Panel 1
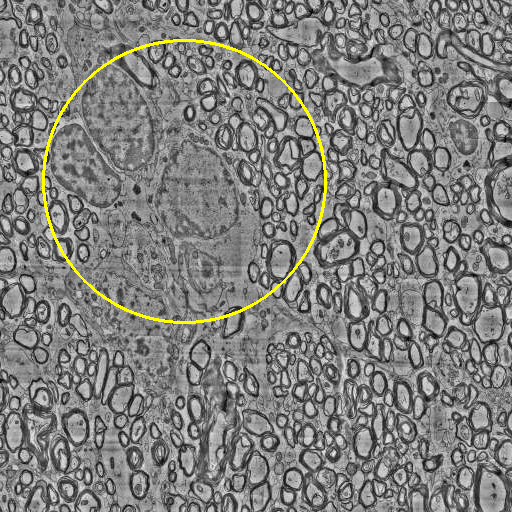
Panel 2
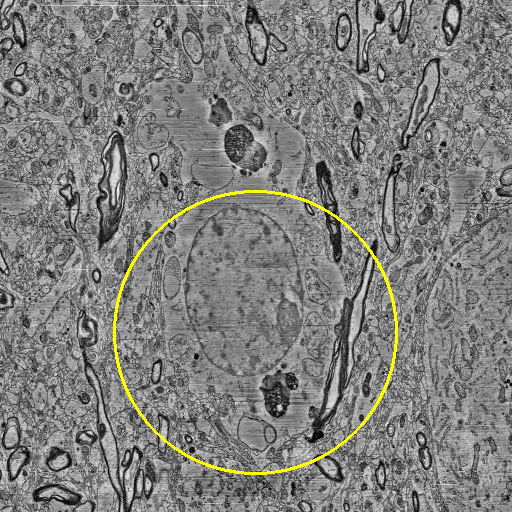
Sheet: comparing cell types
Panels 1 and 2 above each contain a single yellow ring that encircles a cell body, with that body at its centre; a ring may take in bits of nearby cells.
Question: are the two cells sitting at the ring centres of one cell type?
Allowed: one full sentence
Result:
Yes, the ring-centre cells in Panel 1 and Panel 2 are of one type.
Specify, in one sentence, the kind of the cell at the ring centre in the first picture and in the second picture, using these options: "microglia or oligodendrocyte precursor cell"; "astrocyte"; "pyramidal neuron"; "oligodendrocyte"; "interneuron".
Each of the two pictures has an astrocyte at the ring centre.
